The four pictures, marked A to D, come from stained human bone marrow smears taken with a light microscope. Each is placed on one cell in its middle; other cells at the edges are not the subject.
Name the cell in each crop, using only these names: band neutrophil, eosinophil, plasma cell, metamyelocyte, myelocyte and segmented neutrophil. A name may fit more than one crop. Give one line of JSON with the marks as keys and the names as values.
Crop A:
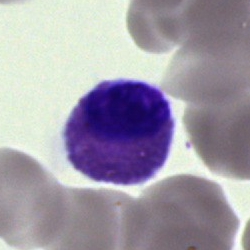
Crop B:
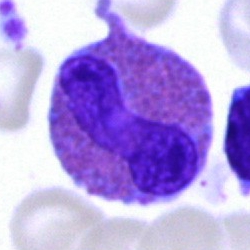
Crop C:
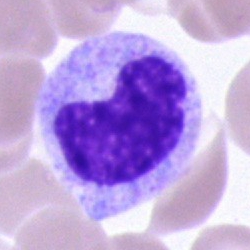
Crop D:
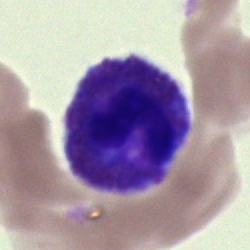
{"A": "eosinophil", "B": "eosinophil", "C": "metamyelocyte", "D": "eosinophil"}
